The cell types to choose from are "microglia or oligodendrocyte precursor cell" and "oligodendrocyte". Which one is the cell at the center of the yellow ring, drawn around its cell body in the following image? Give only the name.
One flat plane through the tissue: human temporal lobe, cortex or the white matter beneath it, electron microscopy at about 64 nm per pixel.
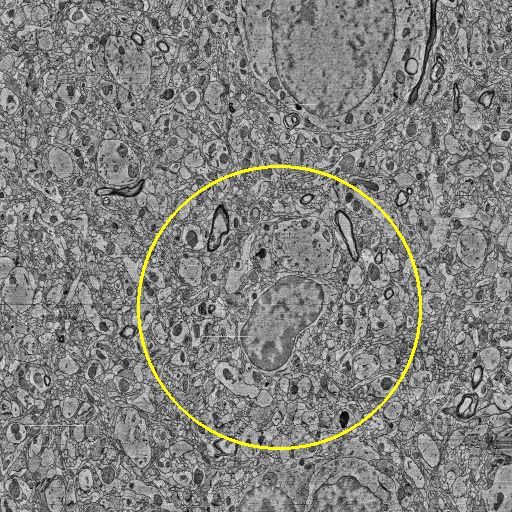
microglia or oligodendrocyte precursor cell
